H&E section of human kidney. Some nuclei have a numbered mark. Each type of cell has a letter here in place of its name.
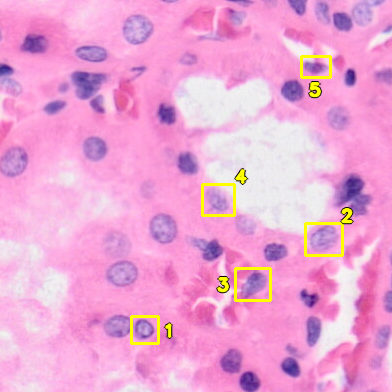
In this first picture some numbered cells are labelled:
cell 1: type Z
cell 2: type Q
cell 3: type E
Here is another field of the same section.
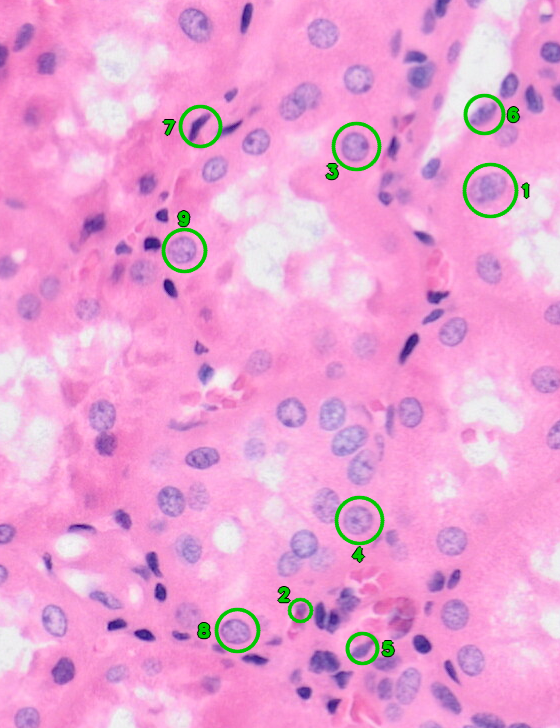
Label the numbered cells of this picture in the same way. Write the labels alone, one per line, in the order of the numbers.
type Z
type E
type Z
type Z
type E
type Q
type E
type Z
type Z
